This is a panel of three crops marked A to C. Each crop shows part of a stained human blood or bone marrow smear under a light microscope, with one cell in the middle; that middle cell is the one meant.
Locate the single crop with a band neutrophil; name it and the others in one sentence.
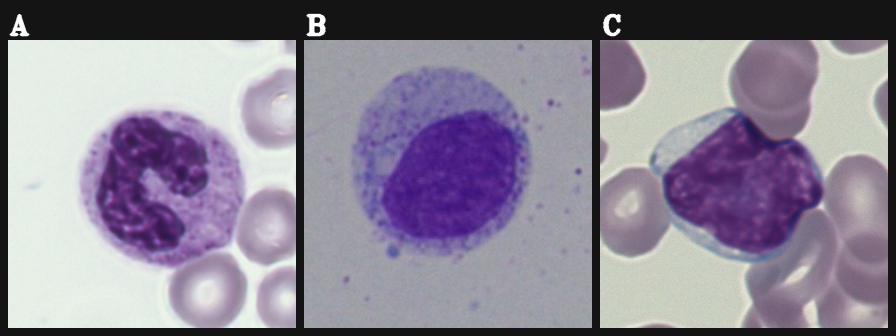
Crop A proves to be a band neutrophil, while crop B is a myelocyte and crop C is a blast.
